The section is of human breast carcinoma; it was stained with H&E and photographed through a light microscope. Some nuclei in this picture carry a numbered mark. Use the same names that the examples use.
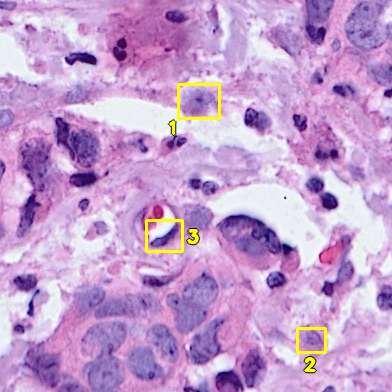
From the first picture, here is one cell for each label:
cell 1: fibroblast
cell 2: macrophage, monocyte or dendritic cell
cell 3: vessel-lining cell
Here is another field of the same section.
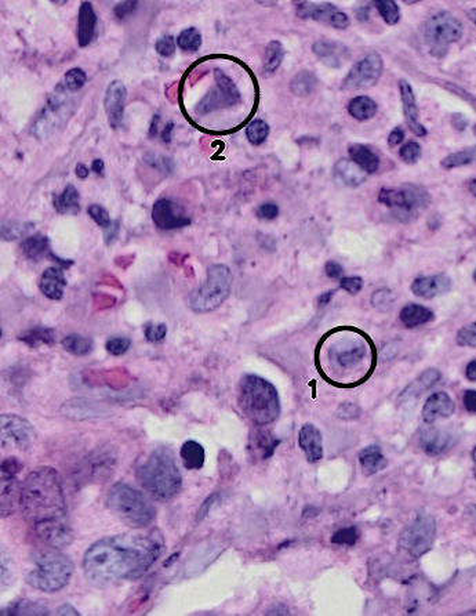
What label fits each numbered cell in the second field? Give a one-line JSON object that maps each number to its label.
{"1": "macrophage, monocyte or dendritic cell", "2": "vessel-lining cell"}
